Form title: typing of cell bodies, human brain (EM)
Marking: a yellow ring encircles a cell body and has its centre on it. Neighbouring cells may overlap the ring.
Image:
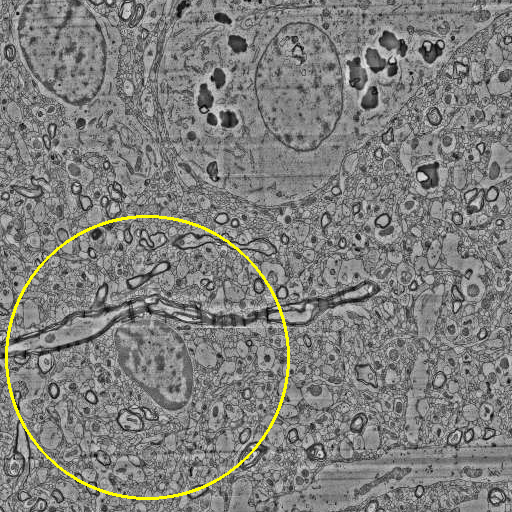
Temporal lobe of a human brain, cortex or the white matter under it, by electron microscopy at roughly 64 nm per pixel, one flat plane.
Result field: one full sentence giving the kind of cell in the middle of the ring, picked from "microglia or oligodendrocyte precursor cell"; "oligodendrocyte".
In the picture, the ring is centred on a microglial cell or oligodendrocyte precursor cell, whose cell body it encircles.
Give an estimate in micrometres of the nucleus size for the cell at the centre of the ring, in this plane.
Approximately 7 micrometres long and 4 micrometres wide, so clearly longer than it is wide in this plane.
